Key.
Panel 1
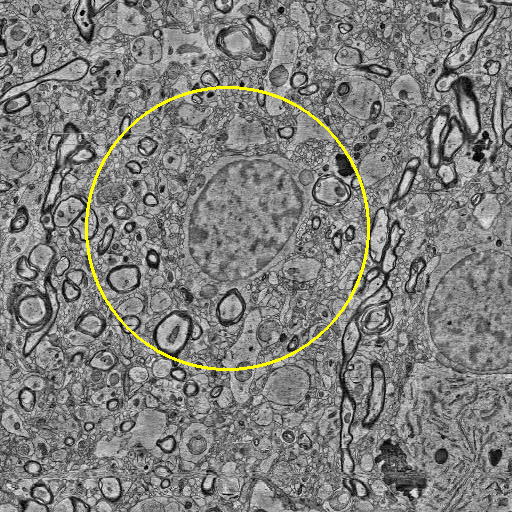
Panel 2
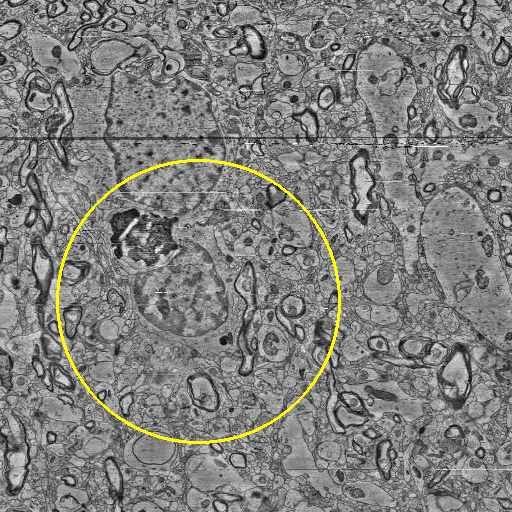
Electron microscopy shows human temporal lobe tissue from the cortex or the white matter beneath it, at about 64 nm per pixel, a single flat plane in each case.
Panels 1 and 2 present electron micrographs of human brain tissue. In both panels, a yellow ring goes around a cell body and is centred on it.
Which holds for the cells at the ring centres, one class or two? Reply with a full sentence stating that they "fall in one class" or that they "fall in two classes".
Taken together, the ring-centre cells of the two panels fall in one class.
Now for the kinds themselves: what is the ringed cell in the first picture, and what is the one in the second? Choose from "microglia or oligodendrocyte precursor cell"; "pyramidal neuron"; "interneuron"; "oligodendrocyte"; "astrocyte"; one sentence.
The ring centre holds an oligodendrocyte in each of the two pictures.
